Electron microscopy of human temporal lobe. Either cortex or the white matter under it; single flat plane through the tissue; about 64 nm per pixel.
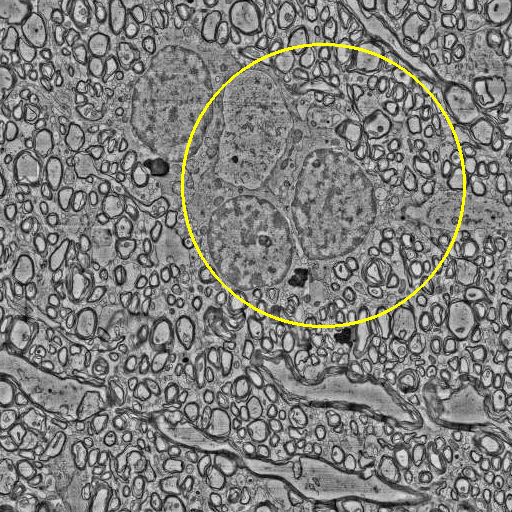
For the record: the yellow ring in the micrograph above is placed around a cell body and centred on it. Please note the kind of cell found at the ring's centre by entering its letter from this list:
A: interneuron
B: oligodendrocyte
B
